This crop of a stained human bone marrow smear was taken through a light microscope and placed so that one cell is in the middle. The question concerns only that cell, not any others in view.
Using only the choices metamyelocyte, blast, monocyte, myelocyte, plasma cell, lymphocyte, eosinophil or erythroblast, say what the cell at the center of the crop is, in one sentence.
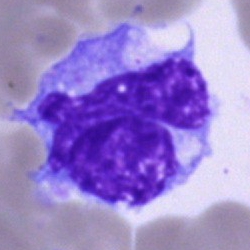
Looking at the middle of the crop, the cell there is a monocyte.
